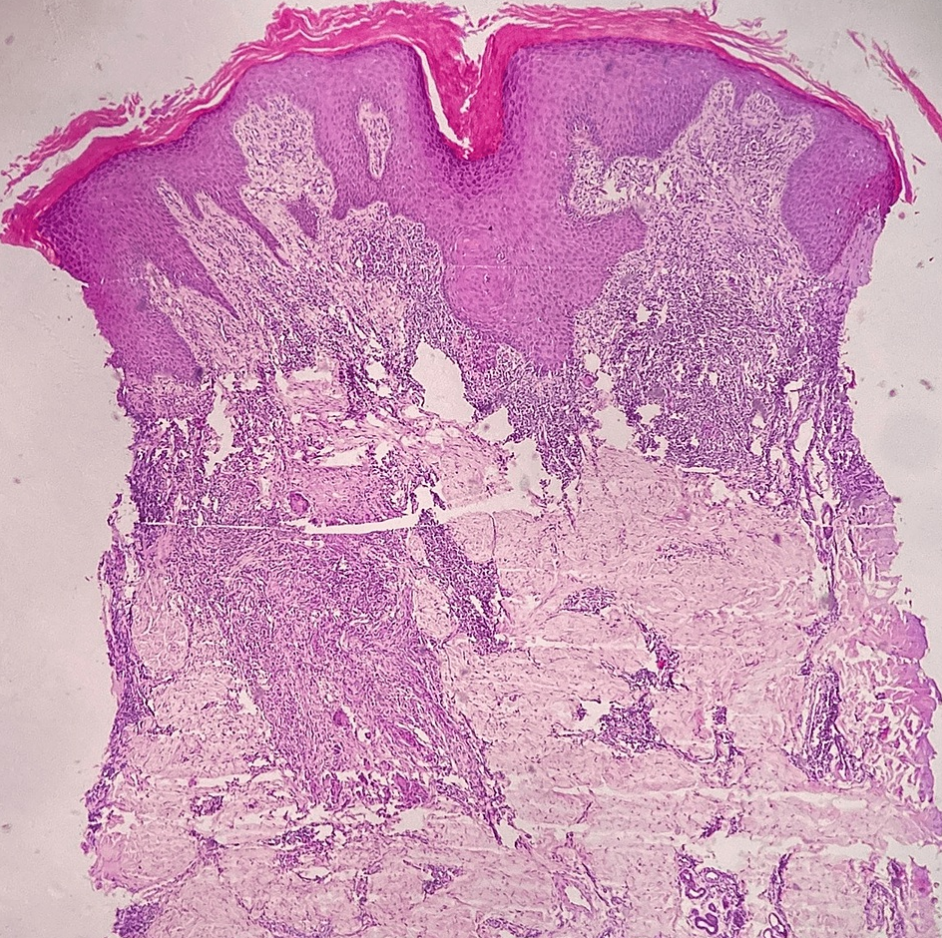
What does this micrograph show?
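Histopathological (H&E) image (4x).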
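Low-power section of skin with a markedly thickened epidermis covered by a thick layer of compact pink keratin, with a central keratin-filled invagination of the surface. The epidermis sends irregular downgrowths of unequal length into the dermis. The upper dermis is densely packed with small dark-nucleated inflammatory cells, while the deeper dermis is paler pink collagen containing nodular aggregates of cells.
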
